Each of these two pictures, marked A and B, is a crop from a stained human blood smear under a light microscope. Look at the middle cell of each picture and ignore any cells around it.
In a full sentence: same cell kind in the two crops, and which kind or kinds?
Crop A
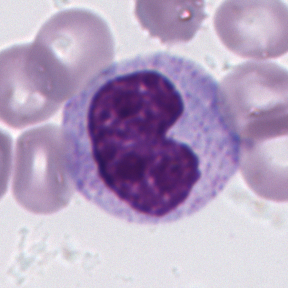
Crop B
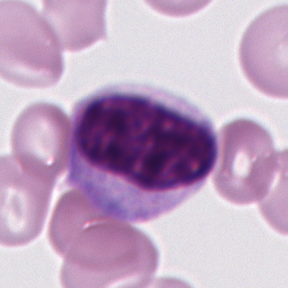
Yes, the two crops show metamyelocytes at their centres.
